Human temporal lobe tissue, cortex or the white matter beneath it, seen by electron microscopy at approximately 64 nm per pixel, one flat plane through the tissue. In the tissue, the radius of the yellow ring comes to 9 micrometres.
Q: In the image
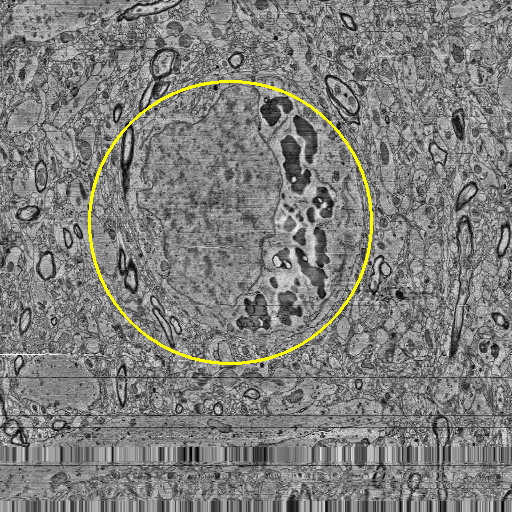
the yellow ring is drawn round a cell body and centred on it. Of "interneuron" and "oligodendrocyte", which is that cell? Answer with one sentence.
The cell centred in the ring is an interneuron.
